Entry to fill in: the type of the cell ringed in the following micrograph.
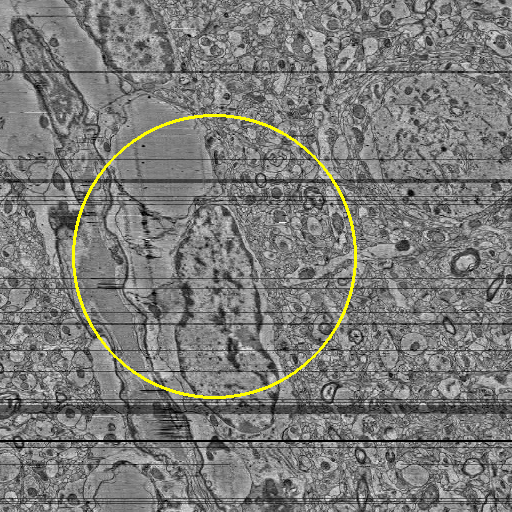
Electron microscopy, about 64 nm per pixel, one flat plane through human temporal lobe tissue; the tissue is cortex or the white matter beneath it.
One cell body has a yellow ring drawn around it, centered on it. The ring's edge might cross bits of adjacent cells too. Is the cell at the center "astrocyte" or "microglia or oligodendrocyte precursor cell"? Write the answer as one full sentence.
This entry names a microglial cell or oligodendrocyte precursor cell as the cell whose body lies at the ring's center.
